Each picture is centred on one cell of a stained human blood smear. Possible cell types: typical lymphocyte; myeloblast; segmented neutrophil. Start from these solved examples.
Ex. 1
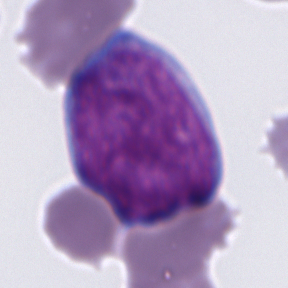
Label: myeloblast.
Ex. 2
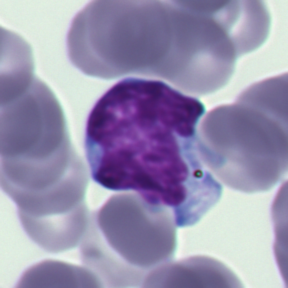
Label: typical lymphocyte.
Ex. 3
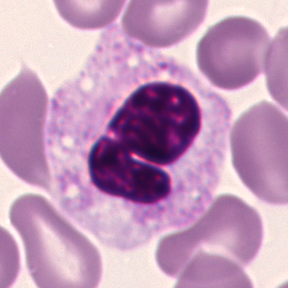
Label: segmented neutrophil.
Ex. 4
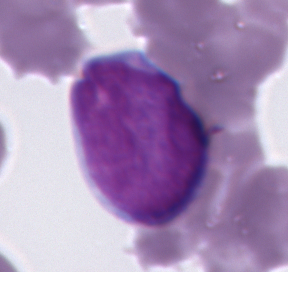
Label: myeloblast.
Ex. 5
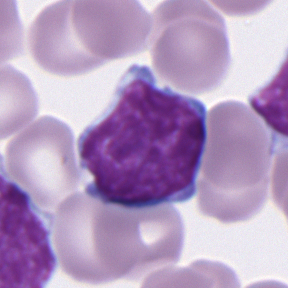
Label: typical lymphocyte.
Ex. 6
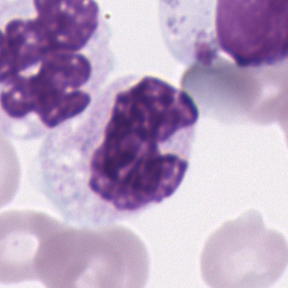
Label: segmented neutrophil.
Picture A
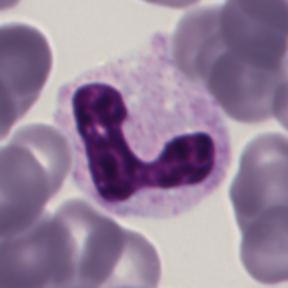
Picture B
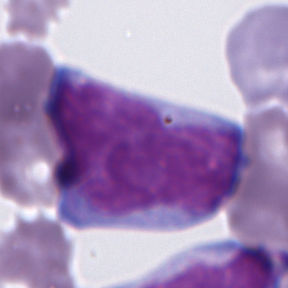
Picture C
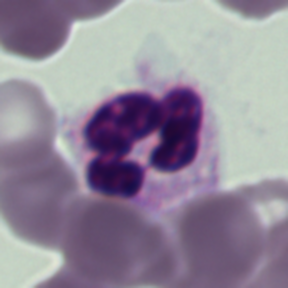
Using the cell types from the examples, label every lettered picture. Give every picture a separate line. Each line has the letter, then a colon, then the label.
A: segmented neutrophil.
B: myeloblast.
C: segmented neutrophil.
